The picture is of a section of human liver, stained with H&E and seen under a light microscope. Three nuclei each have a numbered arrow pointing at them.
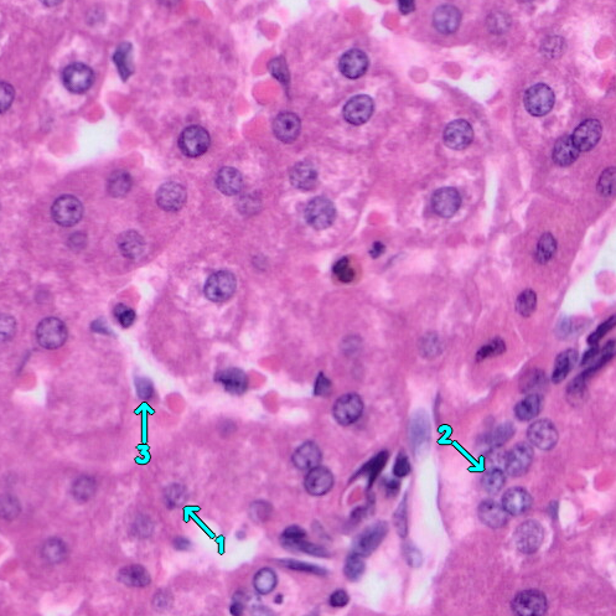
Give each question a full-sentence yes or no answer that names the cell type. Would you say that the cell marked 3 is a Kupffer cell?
Yes, the numbered cell 3 is identified as a Kupffer cell.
